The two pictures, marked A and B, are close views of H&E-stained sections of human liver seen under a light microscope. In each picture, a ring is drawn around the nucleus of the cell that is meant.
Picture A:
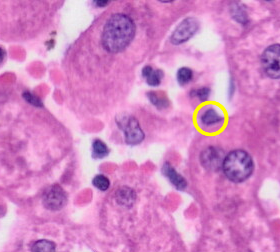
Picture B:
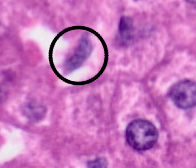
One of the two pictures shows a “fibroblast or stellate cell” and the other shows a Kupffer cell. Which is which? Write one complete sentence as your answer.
Picture A shows a “fibroblast or stellate cell” and picture B shows a Kupffer cell.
